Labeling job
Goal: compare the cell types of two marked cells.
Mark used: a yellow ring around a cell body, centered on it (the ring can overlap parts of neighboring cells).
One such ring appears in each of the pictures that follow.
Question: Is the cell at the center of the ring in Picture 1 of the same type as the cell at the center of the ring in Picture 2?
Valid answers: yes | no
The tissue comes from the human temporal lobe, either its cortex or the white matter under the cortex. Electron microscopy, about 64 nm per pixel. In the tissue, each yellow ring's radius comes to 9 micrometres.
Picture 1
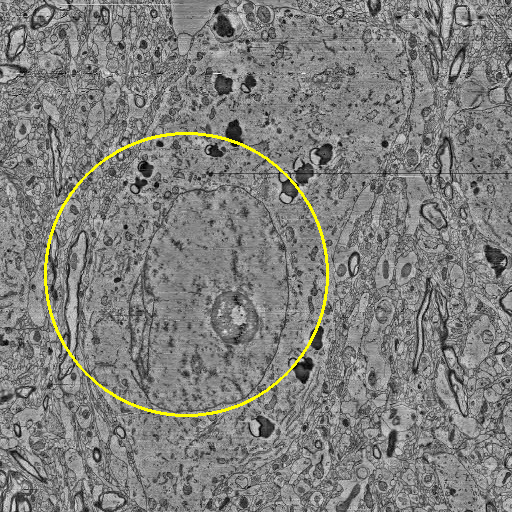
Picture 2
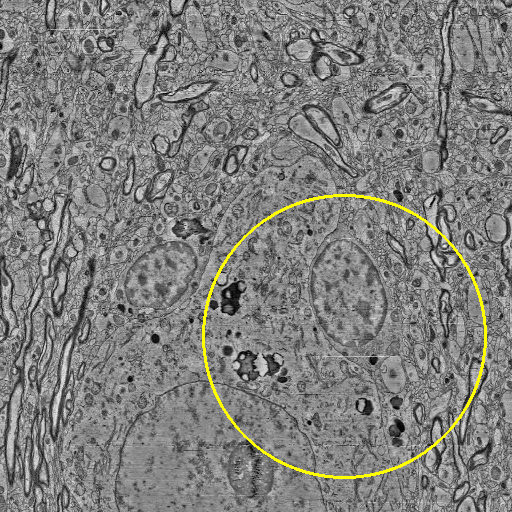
no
